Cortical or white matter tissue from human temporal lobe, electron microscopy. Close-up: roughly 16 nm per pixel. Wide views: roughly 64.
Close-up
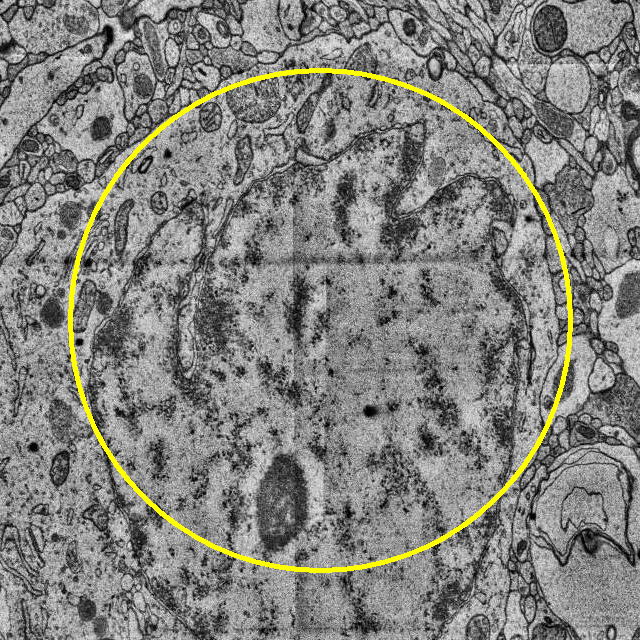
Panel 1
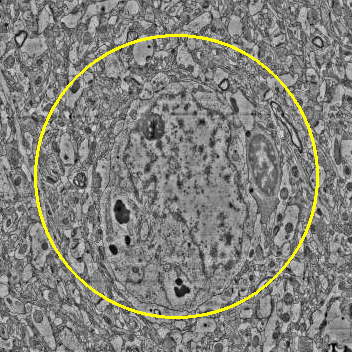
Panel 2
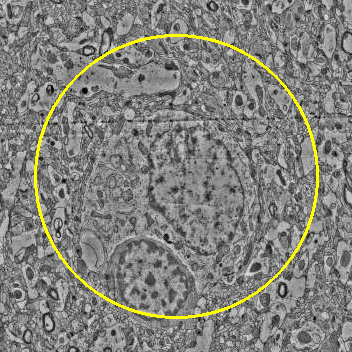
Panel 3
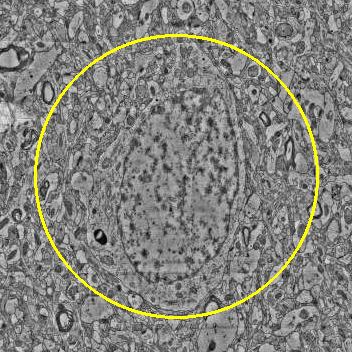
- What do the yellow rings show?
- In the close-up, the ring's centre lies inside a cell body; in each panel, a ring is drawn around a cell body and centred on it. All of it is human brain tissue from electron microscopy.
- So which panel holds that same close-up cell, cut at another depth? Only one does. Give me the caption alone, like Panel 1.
Panel 3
